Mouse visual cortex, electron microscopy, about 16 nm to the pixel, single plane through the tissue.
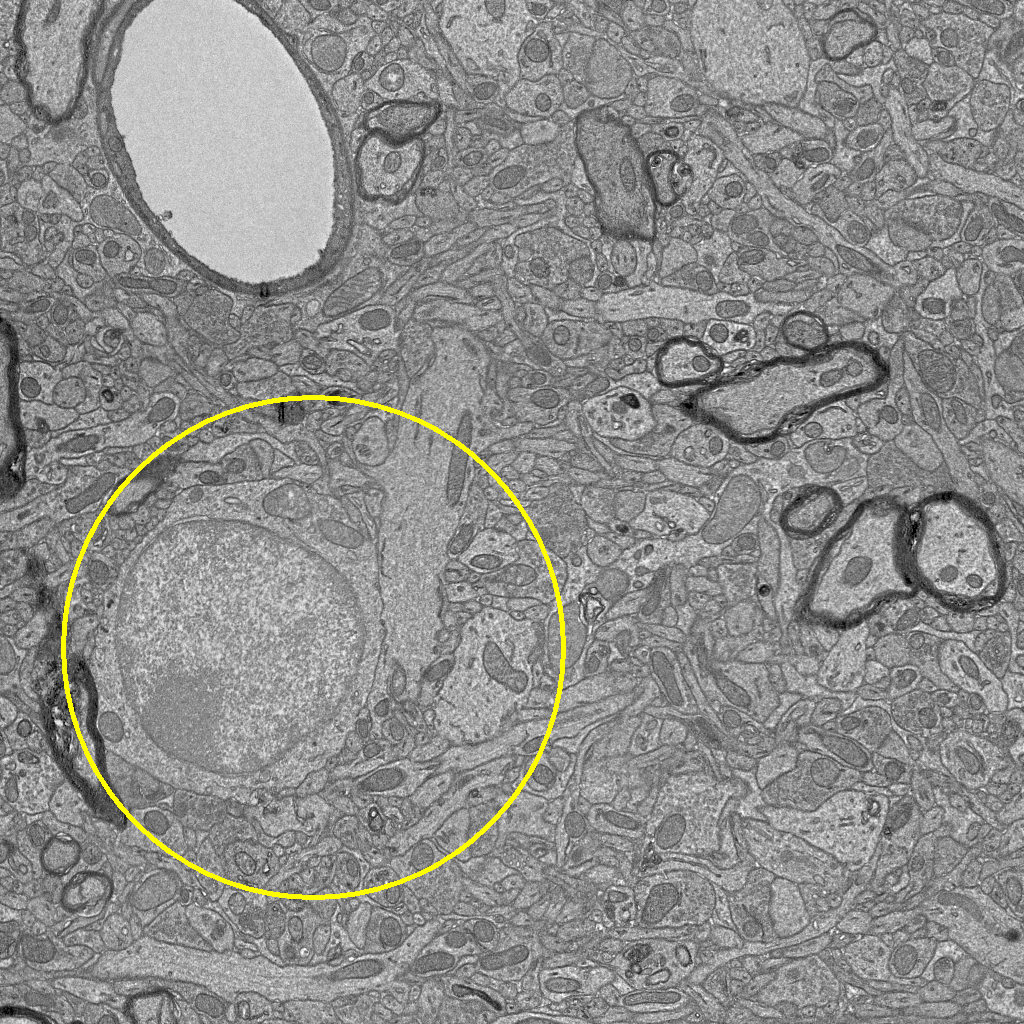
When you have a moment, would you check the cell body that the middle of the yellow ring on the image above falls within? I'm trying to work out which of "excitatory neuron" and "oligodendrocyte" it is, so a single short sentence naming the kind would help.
This cell body belongs to an oligodendrocyte.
